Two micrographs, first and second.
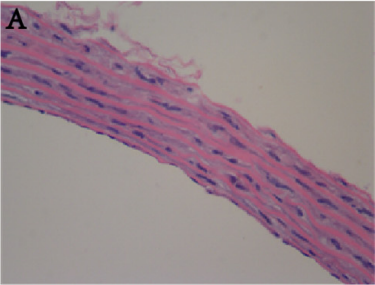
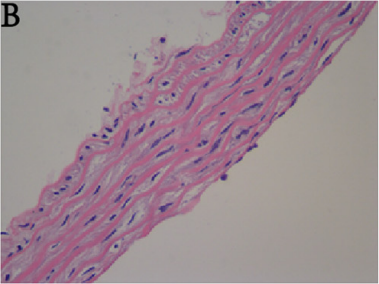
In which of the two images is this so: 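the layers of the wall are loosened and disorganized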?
the second image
